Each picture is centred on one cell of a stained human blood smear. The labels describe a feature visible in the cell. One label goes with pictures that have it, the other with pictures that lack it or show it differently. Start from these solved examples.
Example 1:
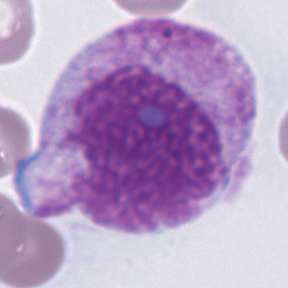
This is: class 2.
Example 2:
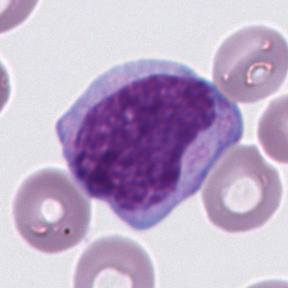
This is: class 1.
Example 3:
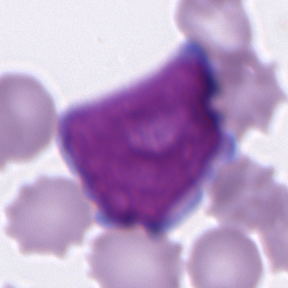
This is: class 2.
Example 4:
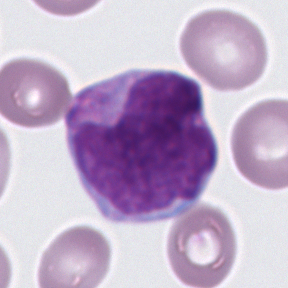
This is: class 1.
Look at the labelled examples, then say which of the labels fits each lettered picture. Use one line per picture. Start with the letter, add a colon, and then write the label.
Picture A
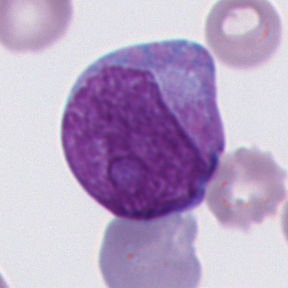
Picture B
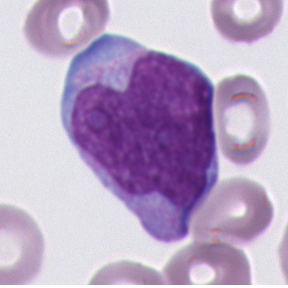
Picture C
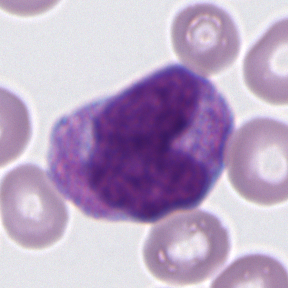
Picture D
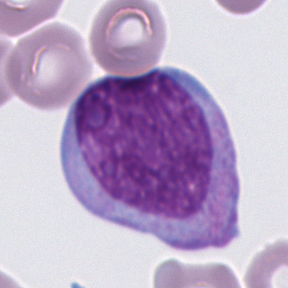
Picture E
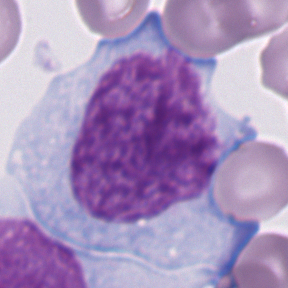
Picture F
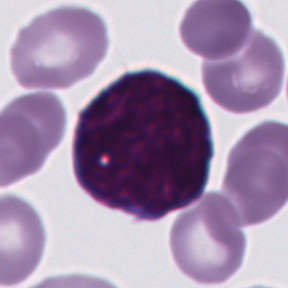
A: class 2.
B: class 2.
C: class 1.
D: class 2.
E: class 1.
F: class 1.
